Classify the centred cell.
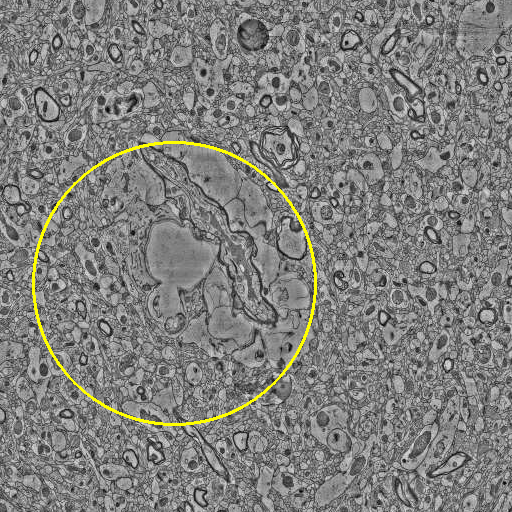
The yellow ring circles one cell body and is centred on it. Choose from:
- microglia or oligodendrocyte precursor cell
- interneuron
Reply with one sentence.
The ring is centred on a microglial cell or oligodendrocyte precursor cell.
